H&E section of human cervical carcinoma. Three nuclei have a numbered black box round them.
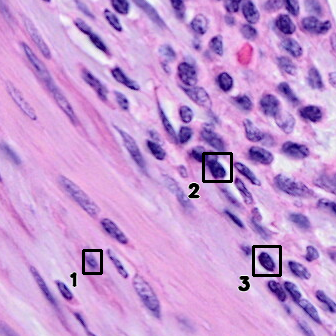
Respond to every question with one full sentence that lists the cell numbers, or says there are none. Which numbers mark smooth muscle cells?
Only cell 1 qualifies as a smooth muscle cell among the numbered cells.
